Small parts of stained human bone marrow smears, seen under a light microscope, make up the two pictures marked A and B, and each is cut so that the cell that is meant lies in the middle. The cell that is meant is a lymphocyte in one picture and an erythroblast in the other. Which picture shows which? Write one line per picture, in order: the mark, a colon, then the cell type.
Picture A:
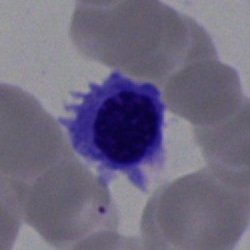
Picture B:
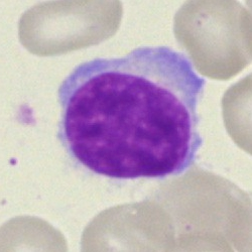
A: erythroblast
B: lymphocyte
